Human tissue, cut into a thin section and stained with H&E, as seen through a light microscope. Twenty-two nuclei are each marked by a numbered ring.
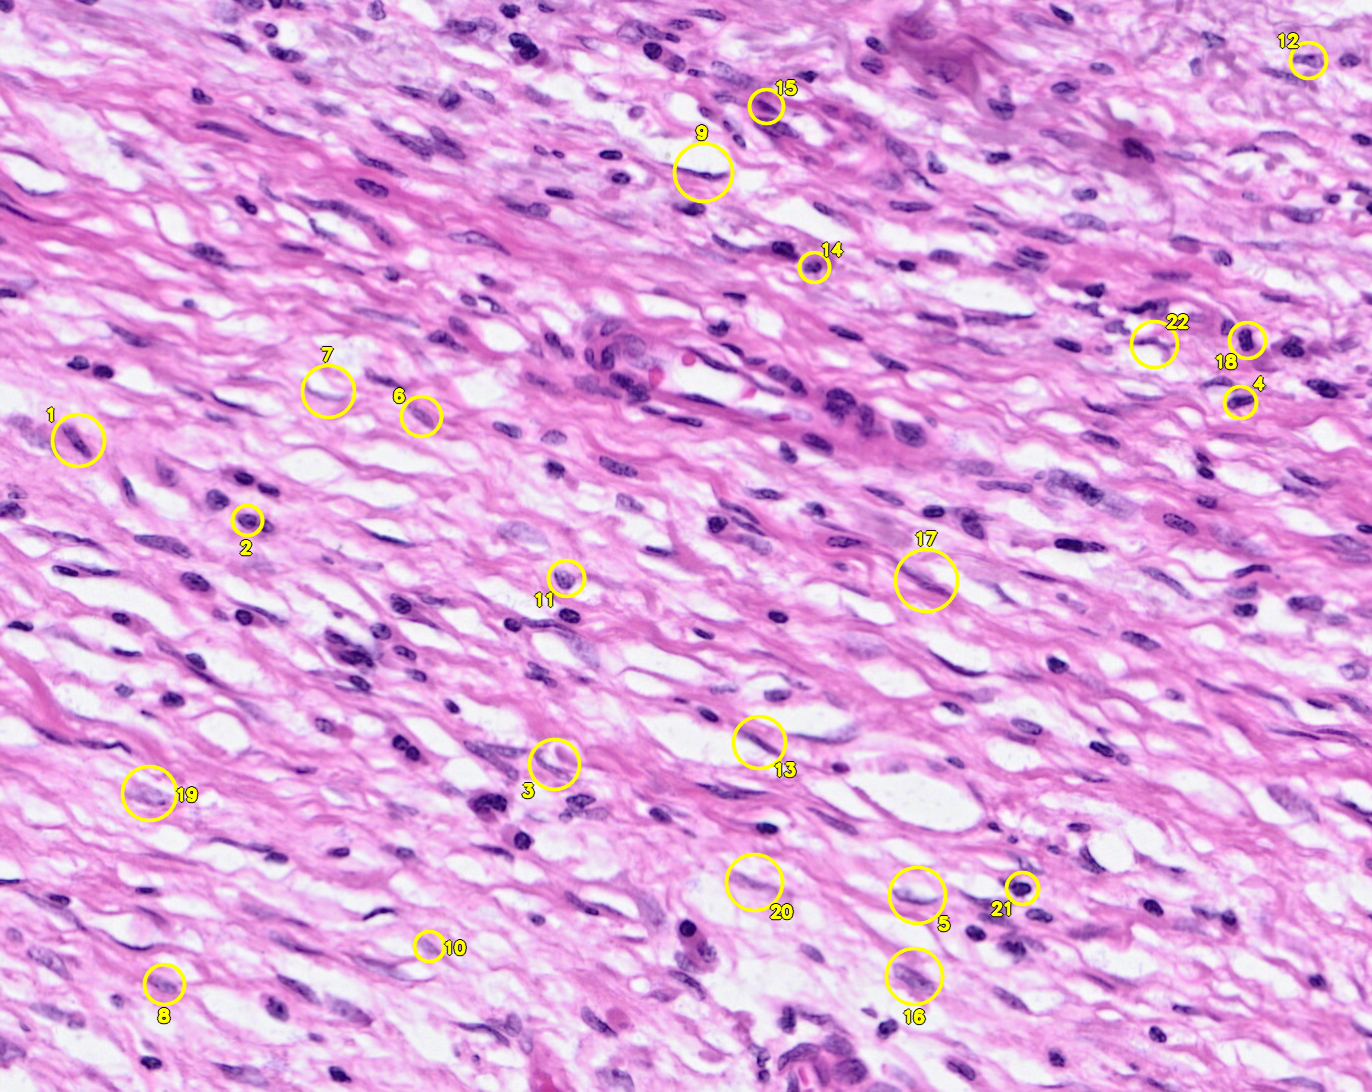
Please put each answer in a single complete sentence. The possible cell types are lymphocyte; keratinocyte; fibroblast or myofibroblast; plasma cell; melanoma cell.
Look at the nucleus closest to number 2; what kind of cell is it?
Number 2 lies closest to the nucleus of a plasma cell.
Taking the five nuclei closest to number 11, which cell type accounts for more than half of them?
Fibroblasts or myofibroblasts make up most of the five nuclei closest to number 11.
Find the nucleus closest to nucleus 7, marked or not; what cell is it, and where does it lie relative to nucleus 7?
The nearest one is a fibroblast or myofibroblast, found to the right of nucleus 7.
